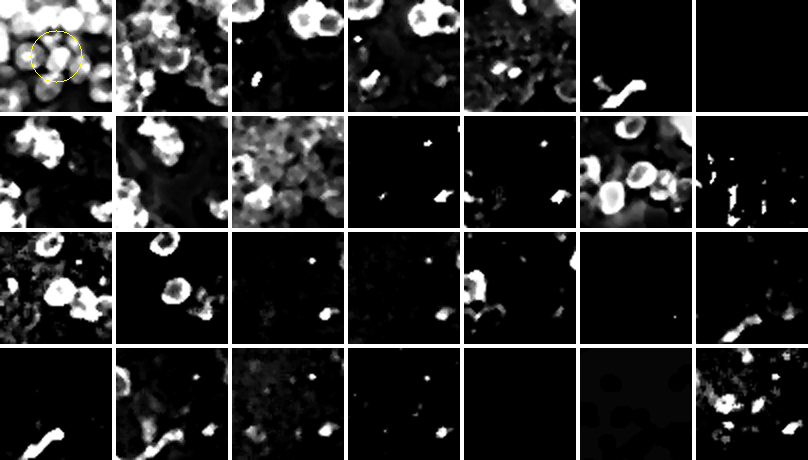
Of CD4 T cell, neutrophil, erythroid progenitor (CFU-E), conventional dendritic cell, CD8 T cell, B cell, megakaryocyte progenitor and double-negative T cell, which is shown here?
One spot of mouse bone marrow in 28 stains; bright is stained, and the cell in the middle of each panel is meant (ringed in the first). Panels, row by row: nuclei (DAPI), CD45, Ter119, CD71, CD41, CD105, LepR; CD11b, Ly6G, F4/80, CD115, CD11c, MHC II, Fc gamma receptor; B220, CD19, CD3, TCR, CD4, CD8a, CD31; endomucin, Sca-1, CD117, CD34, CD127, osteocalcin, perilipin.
B cell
